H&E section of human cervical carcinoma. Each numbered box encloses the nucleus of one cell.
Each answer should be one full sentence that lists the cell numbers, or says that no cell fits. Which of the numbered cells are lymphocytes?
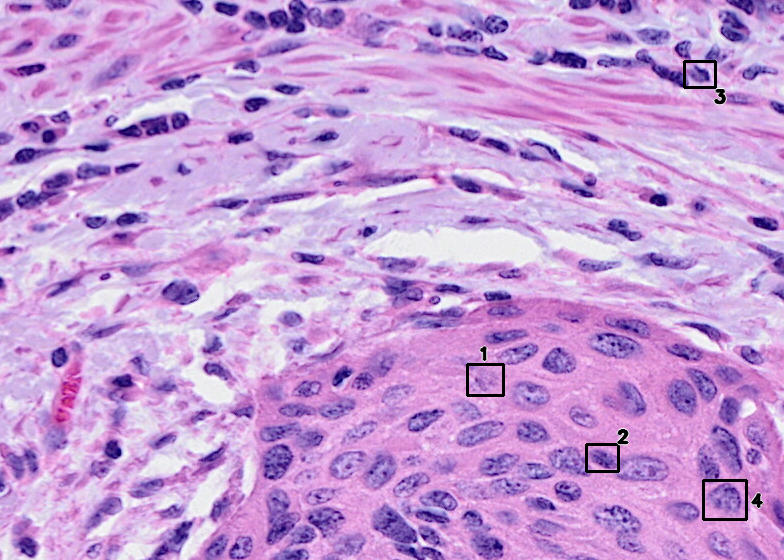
The nucleus labelled 3 alone belongs to a lymphocyte; the other marked nuclei do not.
